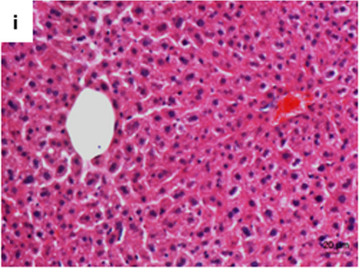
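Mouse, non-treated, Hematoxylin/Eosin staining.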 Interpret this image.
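A large, empty-looking vessel lies at the left with the cell plates arranged around it, and a smaller vessel filled with red blood cells lies at the right. Narrow pale clefts run between the plates of cells.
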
